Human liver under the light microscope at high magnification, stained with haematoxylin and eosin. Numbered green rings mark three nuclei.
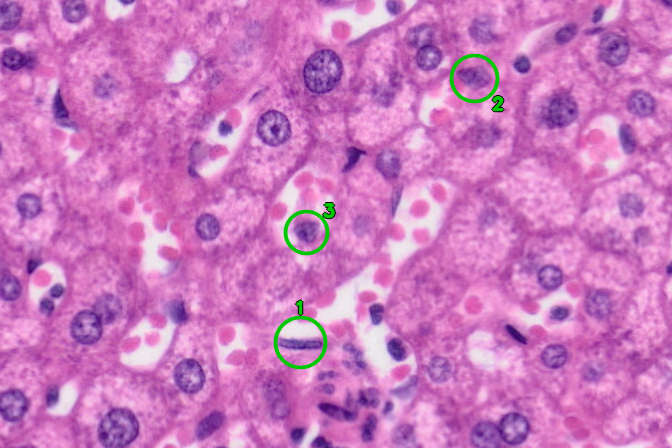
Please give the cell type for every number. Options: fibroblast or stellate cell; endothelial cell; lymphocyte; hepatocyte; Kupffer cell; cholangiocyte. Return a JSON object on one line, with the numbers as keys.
{"1": "Kupffer cell", "2": "endothelial cell", "3": "Kupffer cell"}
